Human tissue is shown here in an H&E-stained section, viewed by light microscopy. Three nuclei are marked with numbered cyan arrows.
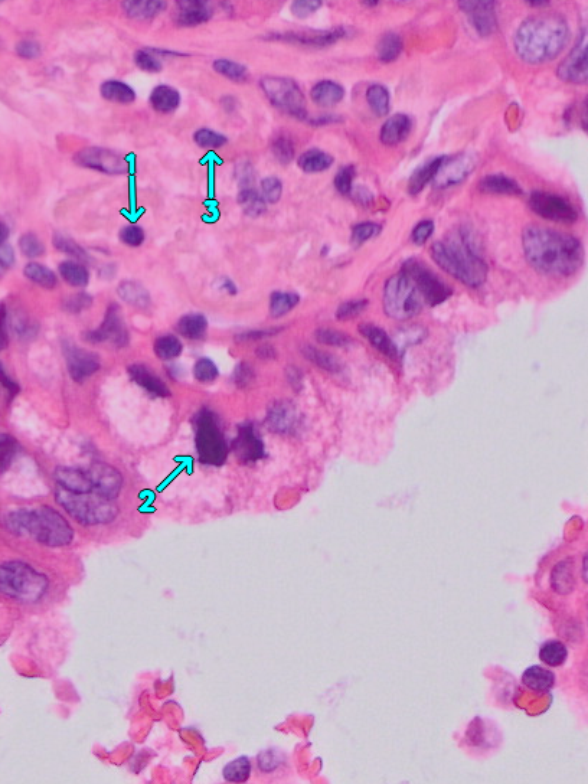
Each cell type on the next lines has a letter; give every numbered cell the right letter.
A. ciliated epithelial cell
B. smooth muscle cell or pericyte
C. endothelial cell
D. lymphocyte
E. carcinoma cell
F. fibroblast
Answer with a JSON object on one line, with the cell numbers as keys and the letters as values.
{"1": "D", "2": "E", "3": "D"}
